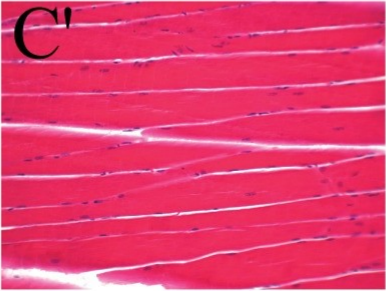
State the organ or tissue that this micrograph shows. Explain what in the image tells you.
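Muscle. Long parallel pink fibres run across the whole field. Flat, elongated dark nuclei lie at the edges of the fibres. Fibres are separated by thin clear gaps.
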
